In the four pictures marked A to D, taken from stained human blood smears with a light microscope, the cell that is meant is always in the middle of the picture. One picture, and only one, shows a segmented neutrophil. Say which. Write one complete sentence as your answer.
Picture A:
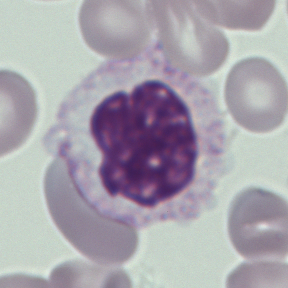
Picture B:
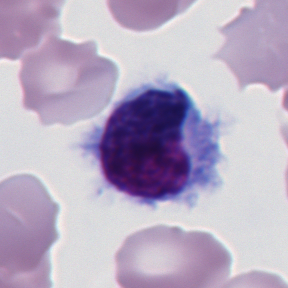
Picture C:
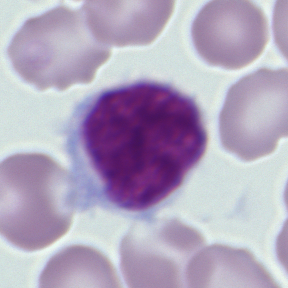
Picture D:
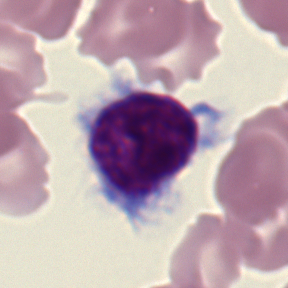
The segmented neutrophil is the one in picture A.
